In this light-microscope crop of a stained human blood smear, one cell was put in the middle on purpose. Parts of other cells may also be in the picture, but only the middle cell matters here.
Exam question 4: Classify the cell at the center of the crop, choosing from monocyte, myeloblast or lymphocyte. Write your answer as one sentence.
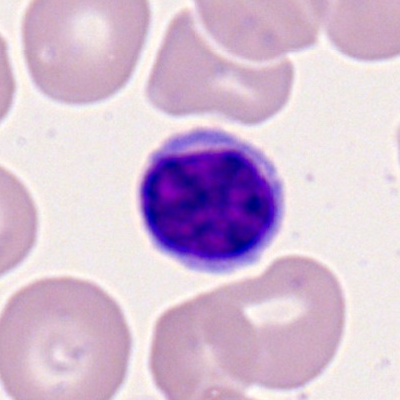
In this crop, the cell at the very middle is a lymphocyte.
